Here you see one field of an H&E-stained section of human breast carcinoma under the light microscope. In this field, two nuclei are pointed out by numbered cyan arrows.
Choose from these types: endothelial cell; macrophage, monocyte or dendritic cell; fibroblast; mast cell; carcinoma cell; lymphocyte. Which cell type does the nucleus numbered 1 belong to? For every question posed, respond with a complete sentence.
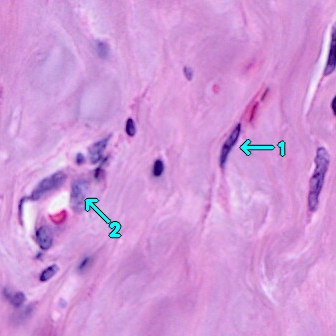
Here, the cell given the number 1 is a fibroblast.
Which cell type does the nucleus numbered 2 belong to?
The cell indicated by marker 2 is an endothelial cell in this section.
